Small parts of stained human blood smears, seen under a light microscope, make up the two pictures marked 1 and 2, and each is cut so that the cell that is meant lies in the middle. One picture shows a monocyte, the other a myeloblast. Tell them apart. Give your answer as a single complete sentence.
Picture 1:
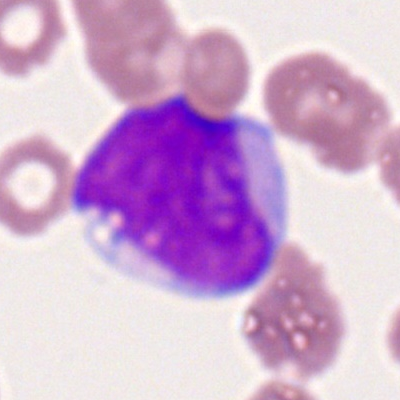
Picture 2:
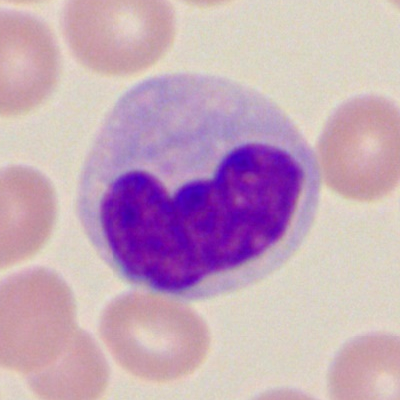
The cell in picture 1 is a myeloblast, and the one in picture 2 is a monocyte.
